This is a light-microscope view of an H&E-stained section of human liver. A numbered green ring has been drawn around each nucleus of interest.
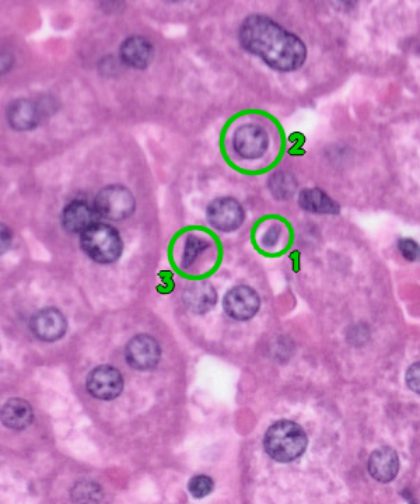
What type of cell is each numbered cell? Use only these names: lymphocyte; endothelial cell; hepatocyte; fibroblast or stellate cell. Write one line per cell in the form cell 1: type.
cell 1: lymphocyte
cell 2: hepatocyte
cell 3: fibroblast or stellate cell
